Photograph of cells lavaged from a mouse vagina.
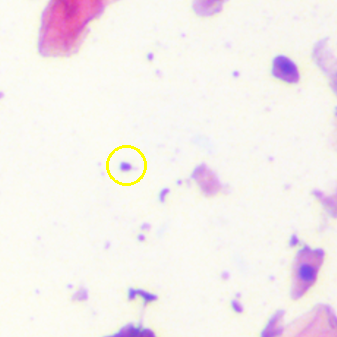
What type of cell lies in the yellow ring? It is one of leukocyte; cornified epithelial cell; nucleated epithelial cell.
The ringed cell is a leukocyte.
